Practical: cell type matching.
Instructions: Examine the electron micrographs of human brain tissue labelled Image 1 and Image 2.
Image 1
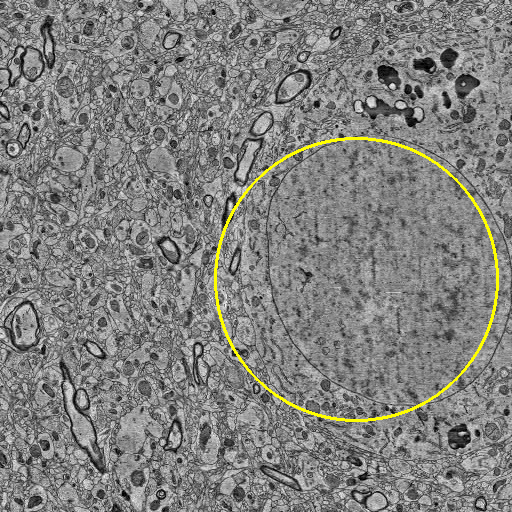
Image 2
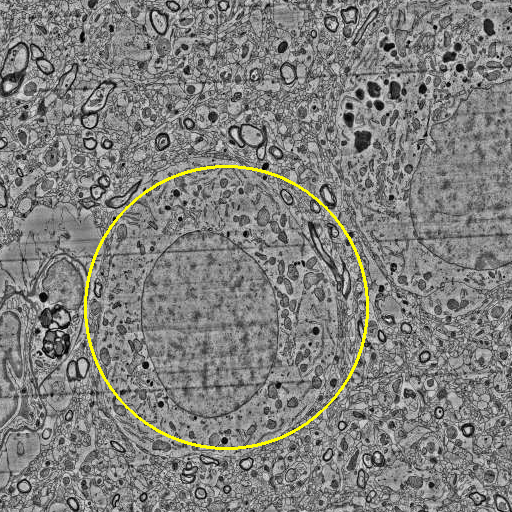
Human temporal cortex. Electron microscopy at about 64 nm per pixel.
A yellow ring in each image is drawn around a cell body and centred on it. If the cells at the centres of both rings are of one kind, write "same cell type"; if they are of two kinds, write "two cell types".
two cell types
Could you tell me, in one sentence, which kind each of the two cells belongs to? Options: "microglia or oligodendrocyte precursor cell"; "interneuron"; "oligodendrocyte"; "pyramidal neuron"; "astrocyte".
At the centre of the first ring sits a pyramidal neuron, and at the centre of the second sits an interneuron.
